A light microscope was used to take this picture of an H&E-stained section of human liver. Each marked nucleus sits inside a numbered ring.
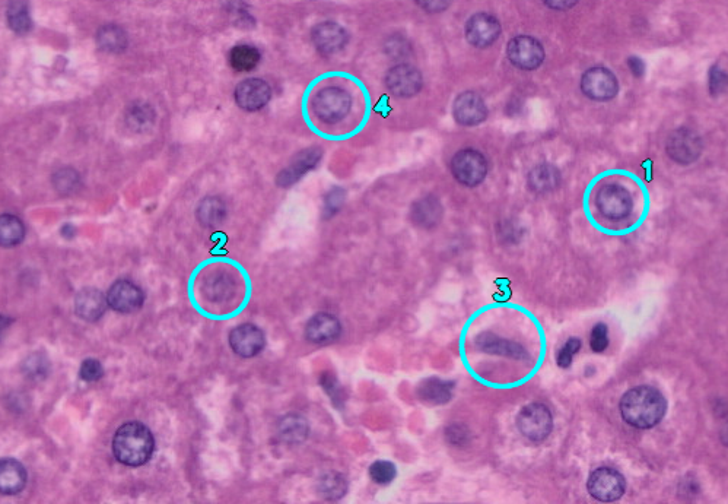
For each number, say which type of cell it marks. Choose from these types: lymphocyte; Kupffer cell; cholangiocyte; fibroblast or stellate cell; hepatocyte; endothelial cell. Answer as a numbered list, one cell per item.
1. hepatocyte
2. hepatocyte
3. Kupffer cell
4. hepatocyte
